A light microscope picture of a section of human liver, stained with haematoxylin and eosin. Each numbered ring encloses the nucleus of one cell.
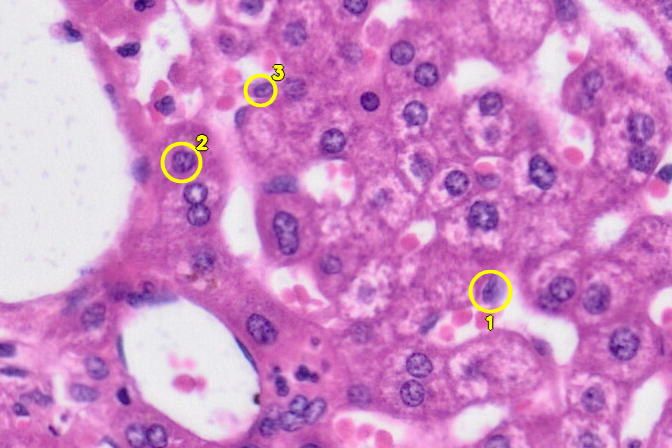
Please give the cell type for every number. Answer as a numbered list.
1. endothelial cell
2. hepatocyte
3. Kupffer cell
